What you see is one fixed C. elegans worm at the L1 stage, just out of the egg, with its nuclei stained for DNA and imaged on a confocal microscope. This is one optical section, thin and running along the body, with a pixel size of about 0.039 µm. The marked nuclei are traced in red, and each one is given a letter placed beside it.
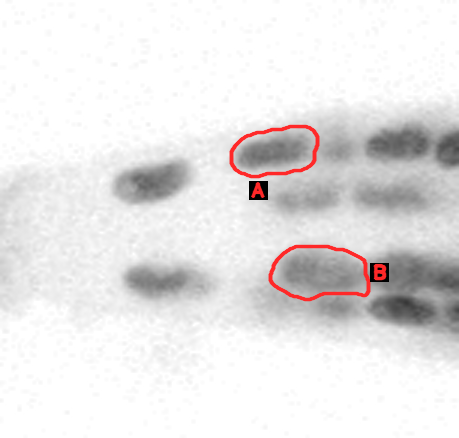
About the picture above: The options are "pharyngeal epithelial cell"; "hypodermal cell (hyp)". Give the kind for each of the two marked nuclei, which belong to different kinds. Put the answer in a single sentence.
The nucleus A is that of a hypodermal cell (hyp), while B is that of a pharyngeal epithelial cell.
